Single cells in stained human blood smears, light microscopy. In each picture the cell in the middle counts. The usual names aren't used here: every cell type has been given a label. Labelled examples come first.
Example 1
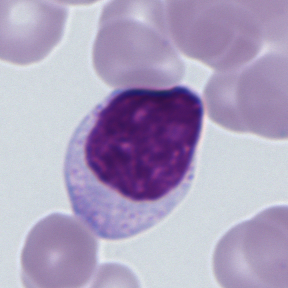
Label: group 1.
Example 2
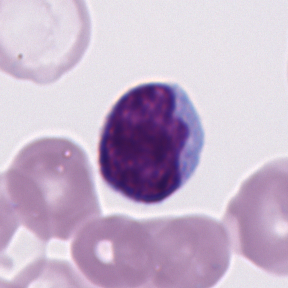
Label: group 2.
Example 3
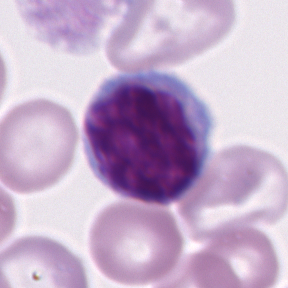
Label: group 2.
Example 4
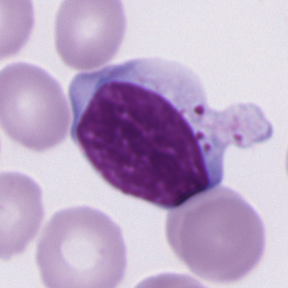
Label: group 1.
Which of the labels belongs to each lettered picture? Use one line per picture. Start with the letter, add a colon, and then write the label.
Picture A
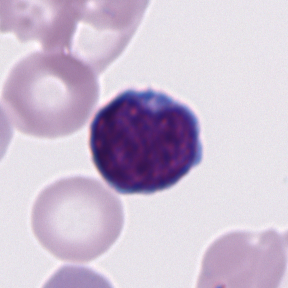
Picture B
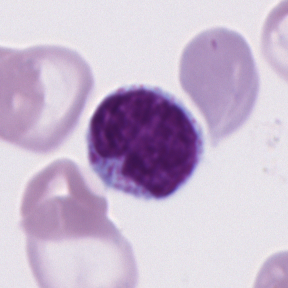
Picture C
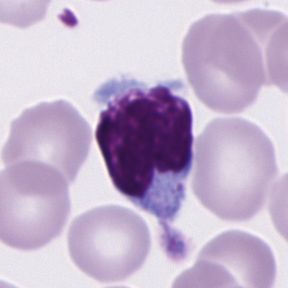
A: group 2.
B: group 2.
C: group 2.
